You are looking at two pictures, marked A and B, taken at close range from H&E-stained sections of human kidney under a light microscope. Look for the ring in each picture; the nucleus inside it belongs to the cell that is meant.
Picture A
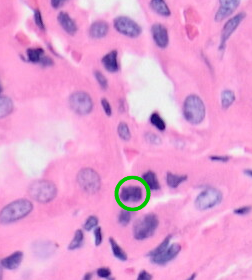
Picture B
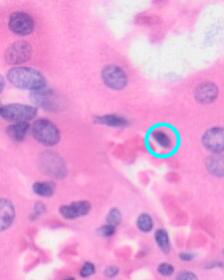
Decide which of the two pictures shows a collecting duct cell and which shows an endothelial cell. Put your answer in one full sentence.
Picture A is of a collecting duct cell, and picture B is of an endothelial cell.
